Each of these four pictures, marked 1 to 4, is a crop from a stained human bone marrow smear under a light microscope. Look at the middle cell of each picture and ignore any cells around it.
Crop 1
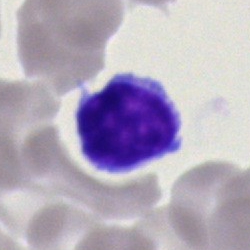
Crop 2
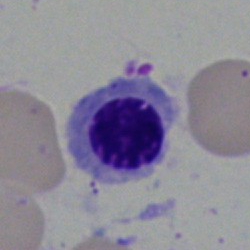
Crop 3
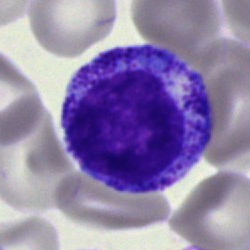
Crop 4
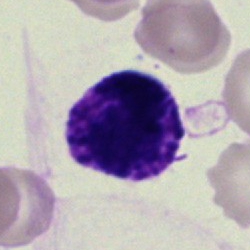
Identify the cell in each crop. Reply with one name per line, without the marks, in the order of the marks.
lymphocyte
normoblast
myelocyte
basophil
